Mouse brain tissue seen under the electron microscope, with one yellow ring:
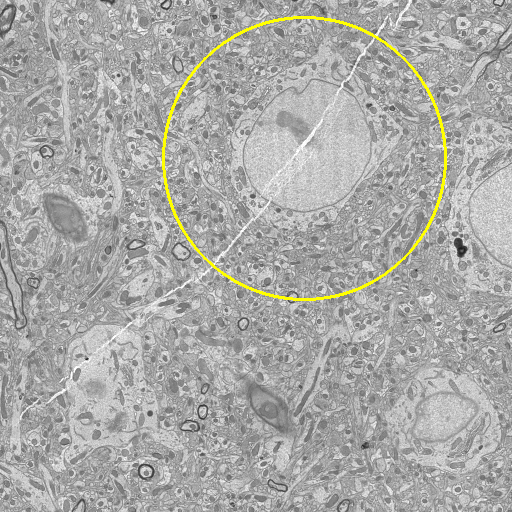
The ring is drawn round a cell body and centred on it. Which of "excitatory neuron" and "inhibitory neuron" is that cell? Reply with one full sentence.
The picture shows an excitatory neuron at the very centre of the yellow ring.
